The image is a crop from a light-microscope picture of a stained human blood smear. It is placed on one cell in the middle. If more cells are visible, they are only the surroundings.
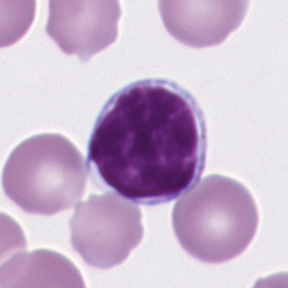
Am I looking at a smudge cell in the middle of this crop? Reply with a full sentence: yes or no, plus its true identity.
No, the cell sitting in the middle is a typical lymphocyte, and it is not a smudge cell.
